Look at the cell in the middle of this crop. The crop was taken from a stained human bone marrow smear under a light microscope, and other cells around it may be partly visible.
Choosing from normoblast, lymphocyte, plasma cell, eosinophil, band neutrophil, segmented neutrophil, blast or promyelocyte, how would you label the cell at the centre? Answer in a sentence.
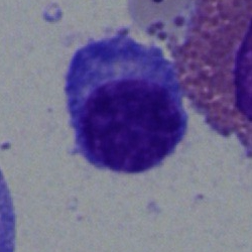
The central cell in this smear crop is a plasma cell.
